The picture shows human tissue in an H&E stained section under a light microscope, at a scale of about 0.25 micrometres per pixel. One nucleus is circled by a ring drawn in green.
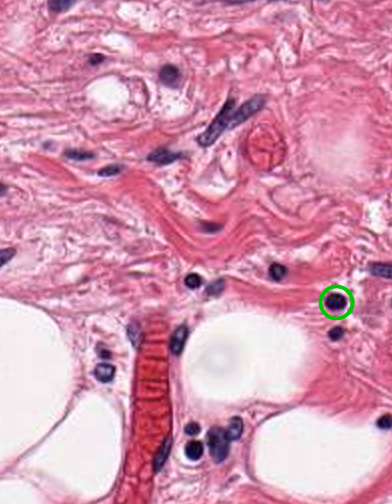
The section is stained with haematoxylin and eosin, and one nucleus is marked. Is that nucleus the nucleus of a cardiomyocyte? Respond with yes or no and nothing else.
no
